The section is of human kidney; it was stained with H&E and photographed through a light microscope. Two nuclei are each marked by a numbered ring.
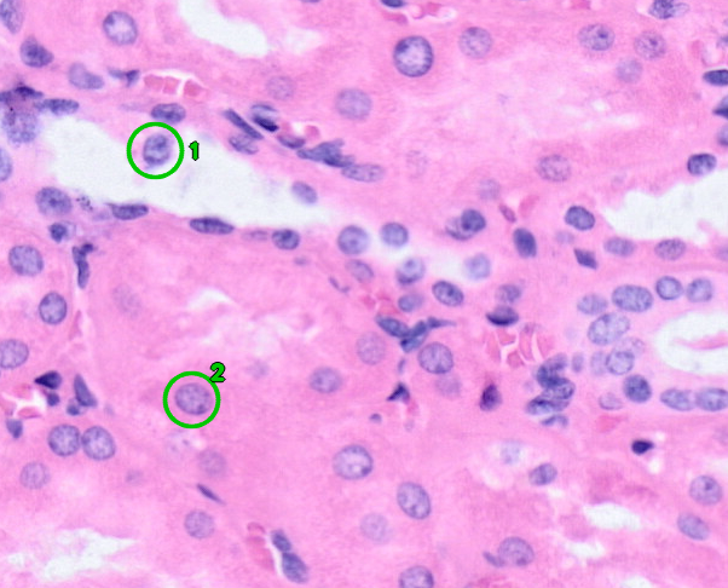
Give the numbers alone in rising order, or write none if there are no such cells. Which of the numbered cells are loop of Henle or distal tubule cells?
1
